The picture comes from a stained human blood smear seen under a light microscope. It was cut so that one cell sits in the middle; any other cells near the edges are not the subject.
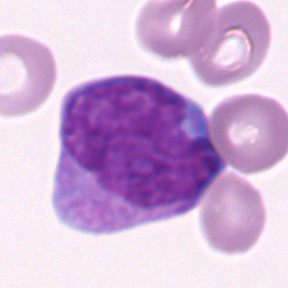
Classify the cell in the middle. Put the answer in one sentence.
In the center of this field lies an atypical promyelocyte.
